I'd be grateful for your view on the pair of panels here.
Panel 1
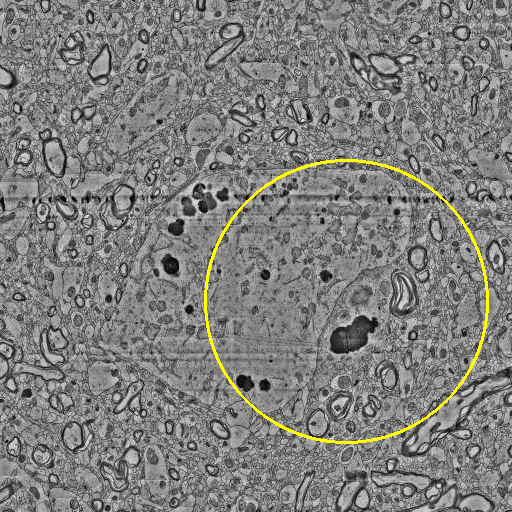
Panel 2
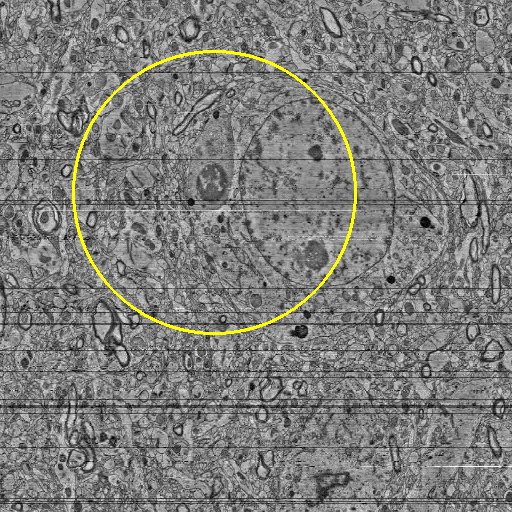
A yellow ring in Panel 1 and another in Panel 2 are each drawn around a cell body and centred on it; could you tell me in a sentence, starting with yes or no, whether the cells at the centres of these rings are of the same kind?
Yes, they are the same kind of cell.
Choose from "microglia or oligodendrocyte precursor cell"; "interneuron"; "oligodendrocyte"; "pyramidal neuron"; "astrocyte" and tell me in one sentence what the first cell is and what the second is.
The second cell is an oligodendrocyte, just as the first is.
